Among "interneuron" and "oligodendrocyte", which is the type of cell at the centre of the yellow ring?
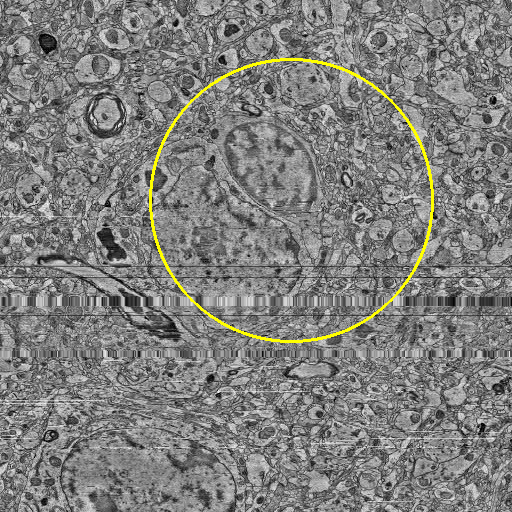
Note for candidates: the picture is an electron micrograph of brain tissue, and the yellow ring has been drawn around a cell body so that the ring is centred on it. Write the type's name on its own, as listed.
oligodendrocyte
